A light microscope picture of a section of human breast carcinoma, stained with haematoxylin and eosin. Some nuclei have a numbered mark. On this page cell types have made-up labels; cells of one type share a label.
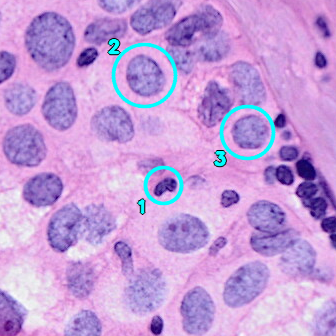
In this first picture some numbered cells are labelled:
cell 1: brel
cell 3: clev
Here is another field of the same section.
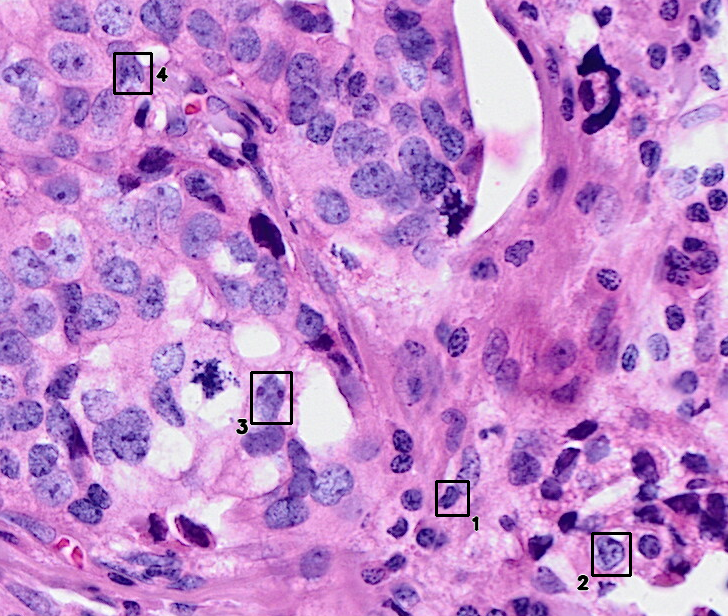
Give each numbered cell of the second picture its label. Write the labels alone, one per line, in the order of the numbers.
brel
clev
clev
clev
